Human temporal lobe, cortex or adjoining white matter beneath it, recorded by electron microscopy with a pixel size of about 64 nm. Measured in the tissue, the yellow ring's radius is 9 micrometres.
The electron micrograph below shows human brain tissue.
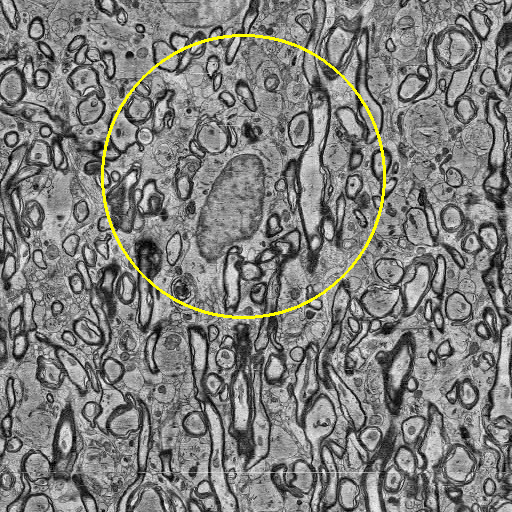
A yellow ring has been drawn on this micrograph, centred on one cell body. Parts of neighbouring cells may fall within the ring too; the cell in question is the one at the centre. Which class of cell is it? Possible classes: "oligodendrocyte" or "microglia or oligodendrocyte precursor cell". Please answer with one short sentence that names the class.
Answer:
In the centre of the ring sits a microglial cell or oligodendrocyte precursor cell.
